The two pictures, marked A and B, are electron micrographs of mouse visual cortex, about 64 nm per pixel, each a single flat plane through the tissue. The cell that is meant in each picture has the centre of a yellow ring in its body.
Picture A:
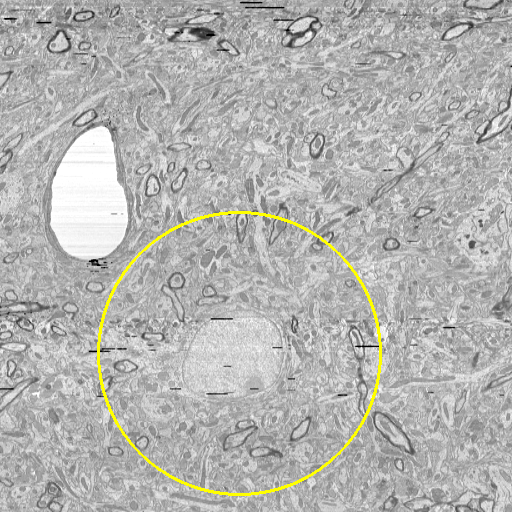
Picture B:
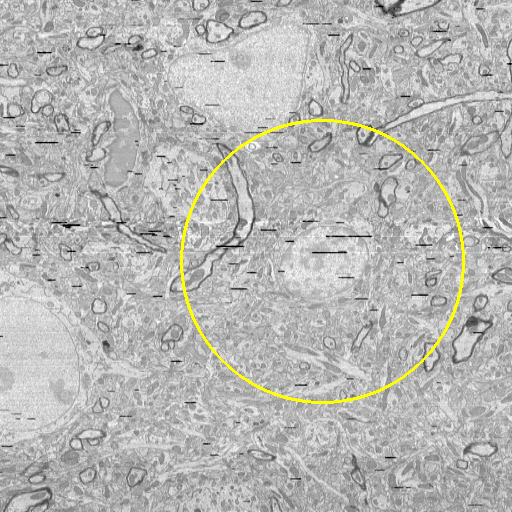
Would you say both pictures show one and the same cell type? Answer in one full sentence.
No; the cell in picture A is an astrocyte, while the one in picture B is an oligodendrocyte.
